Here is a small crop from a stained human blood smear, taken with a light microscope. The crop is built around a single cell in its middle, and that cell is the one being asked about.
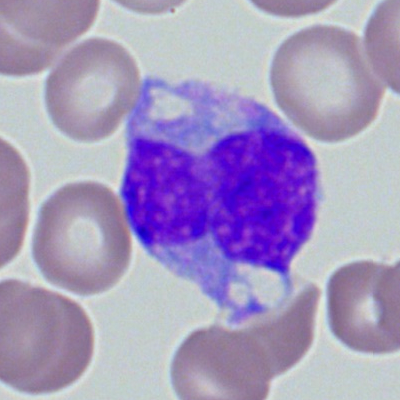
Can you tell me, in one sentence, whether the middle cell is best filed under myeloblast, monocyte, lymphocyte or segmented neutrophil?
The cell of interest, located centrally, is a monocyte.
